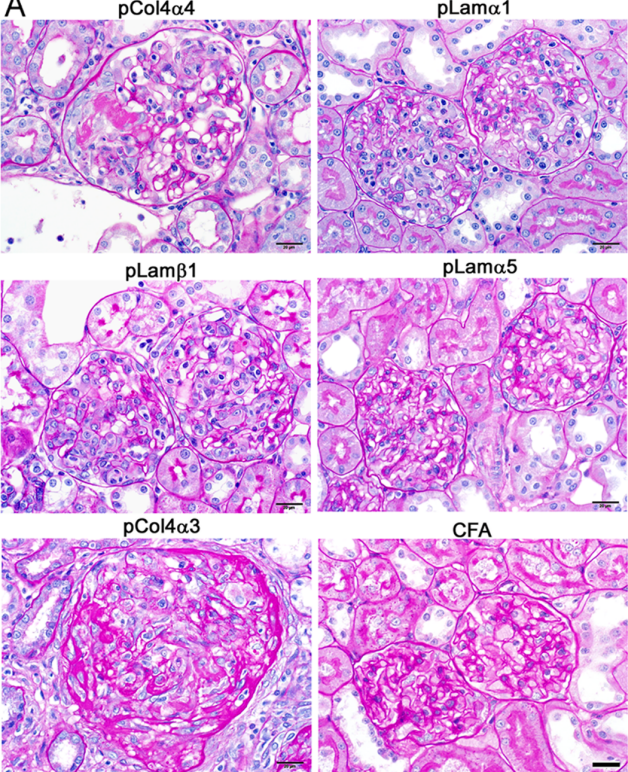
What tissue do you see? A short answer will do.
kidneys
